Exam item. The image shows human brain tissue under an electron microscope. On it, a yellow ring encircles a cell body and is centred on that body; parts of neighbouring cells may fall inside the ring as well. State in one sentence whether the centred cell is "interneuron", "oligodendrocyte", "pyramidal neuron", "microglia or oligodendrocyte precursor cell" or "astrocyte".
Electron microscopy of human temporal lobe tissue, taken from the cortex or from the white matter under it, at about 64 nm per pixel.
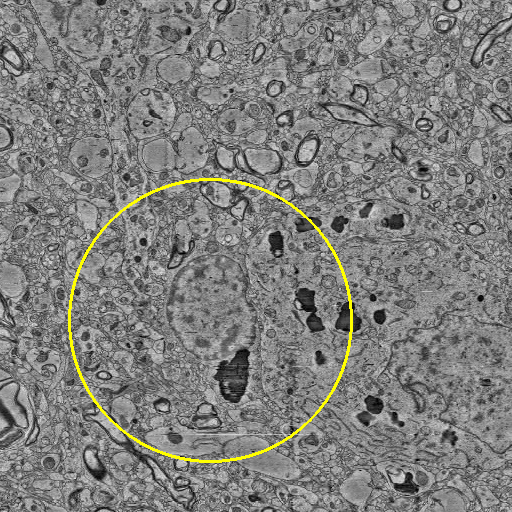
The cell body centred in the ring is an oligodendrocyte.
